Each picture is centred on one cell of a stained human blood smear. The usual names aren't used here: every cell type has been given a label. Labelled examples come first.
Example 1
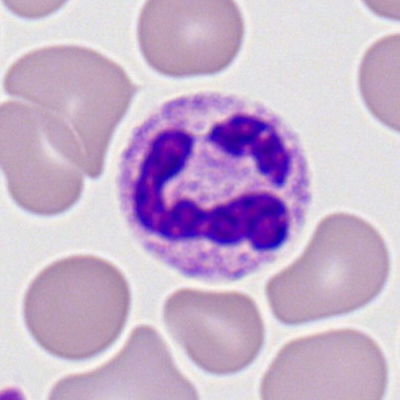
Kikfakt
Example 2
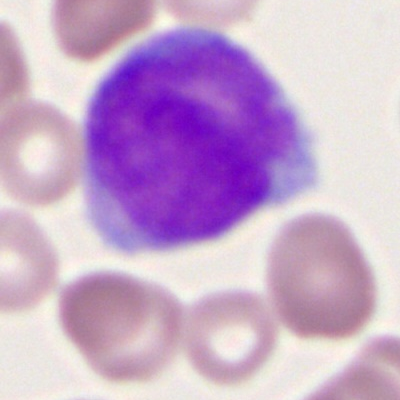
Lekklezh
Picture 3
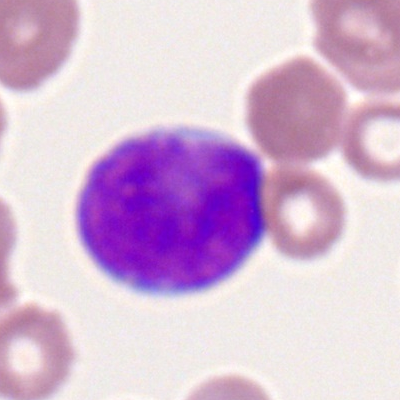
Lekklezh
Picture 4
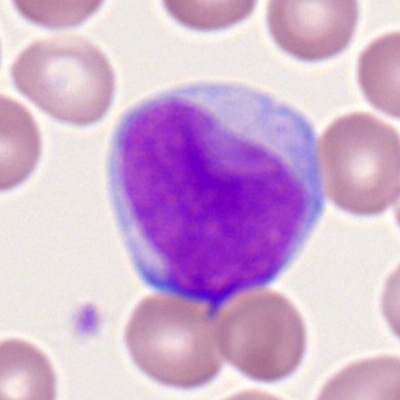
Lekklezh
